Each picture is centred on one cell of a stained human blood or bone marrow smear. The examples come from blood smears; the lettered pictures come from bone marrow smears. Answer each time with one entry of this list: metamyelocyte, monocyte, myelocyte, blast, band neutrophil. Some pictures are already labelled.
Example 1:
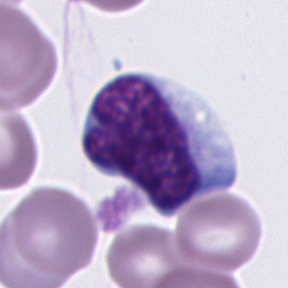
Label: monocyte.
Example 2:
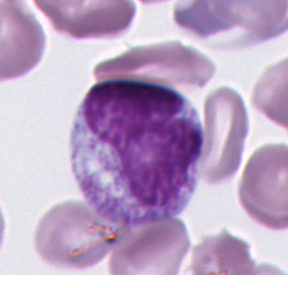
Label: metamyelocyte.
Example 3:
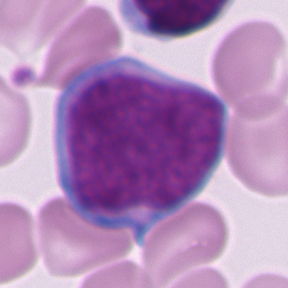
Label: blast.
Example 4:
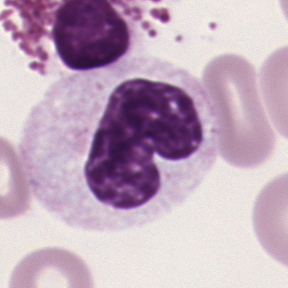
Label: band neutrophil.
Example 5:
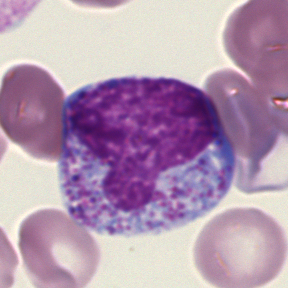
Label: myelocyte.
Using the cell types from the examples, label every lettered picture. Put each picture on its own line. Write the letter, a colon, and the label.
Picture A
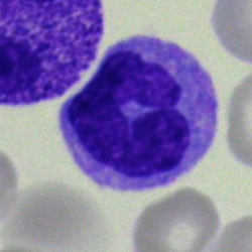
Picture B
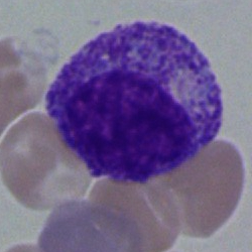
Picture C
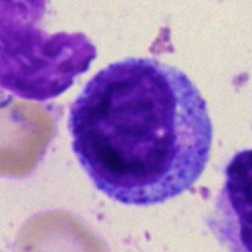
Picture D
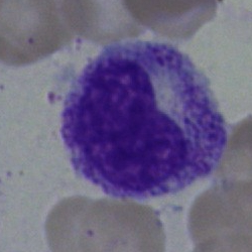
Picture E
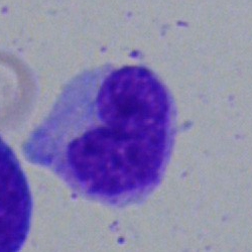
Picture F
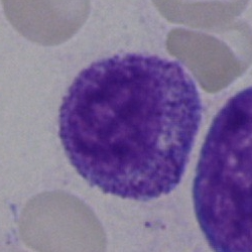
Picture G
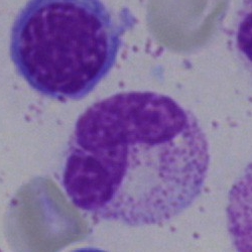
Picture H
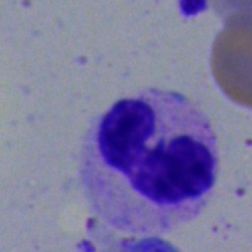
A: monocyte.
B: myelocyte.
C: myelocyte.
D: metamyelocyte.
E: metamyelocyte.
F: myelocyte.
G: band neutrophil.
H: band neutrophil.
